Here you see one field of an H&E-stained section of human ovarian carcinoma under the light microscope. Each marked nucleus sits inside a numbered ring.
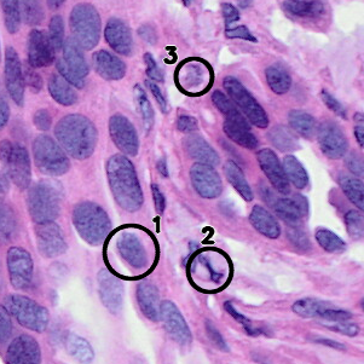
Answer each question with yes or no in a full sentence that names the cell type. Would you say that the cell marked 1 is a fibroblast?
No, it is a carcinoma cell, not a fibroblast, that number 1 marks.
